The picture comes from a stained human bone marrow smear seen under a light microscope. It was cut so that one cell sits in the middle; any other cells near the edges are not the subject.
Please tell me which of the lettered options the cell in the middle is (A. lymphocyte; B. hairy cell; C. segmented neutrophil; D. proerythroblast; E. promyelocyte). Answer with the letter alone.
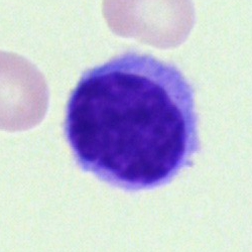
B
